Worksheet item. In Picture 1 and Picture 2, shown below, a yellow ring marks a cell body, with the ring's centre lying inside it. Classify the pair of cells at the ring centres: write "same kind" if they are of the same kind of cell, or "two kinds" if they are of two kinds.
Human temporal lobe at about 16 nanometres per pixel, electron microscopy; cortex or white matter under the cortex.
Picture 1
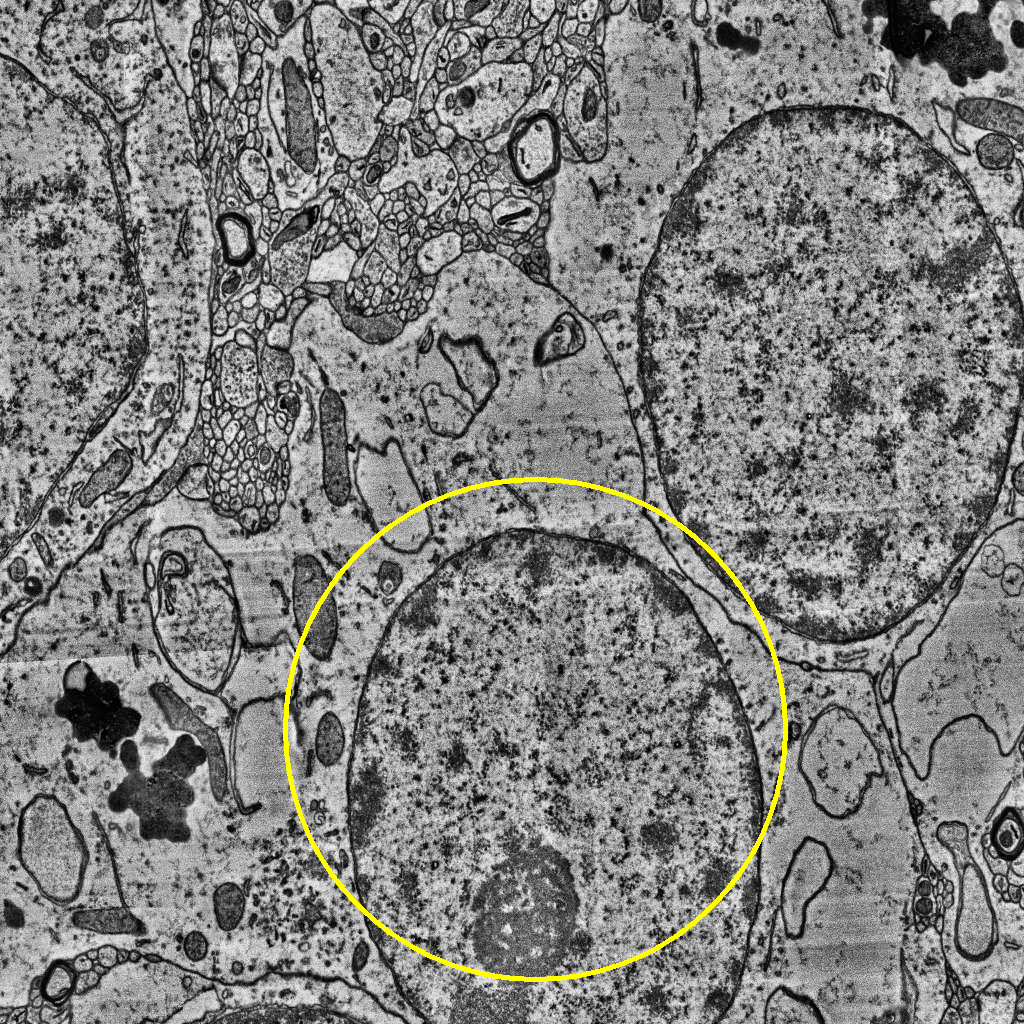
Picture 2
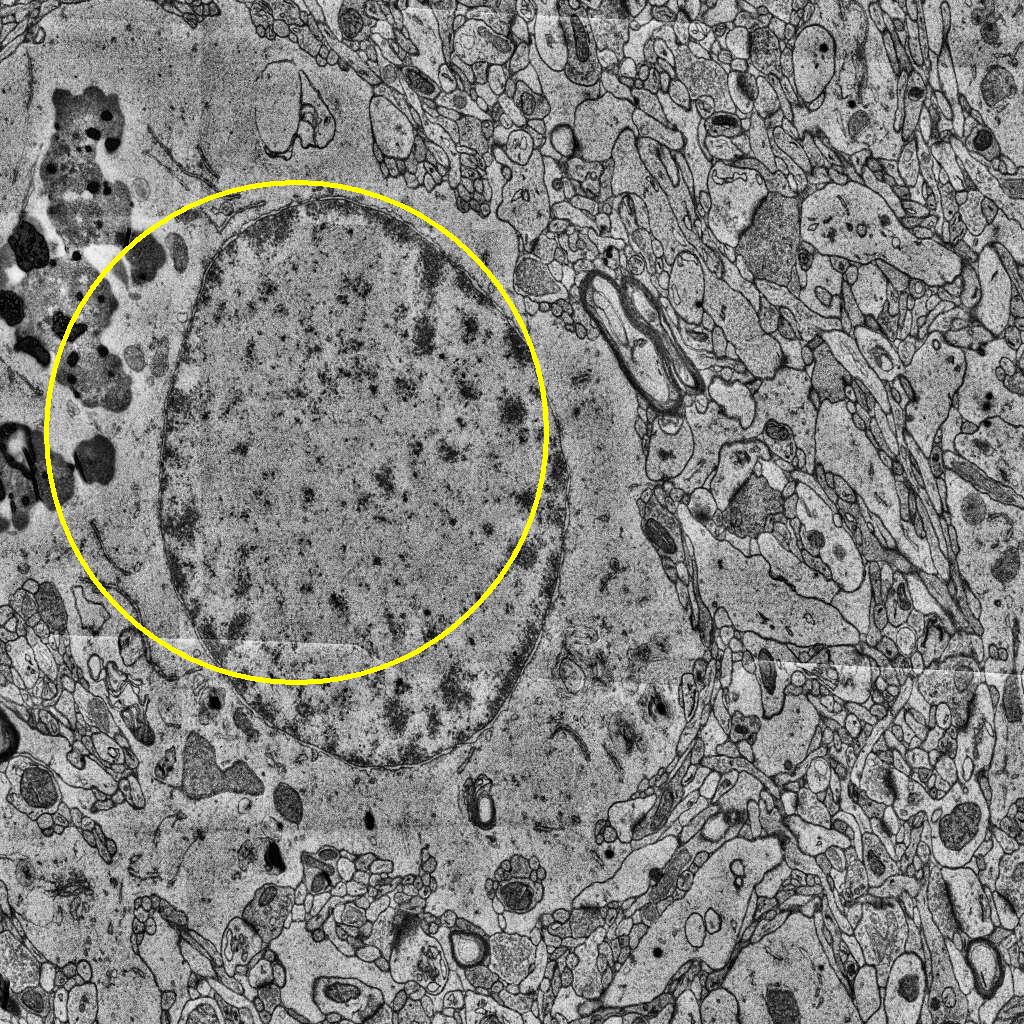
same kind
